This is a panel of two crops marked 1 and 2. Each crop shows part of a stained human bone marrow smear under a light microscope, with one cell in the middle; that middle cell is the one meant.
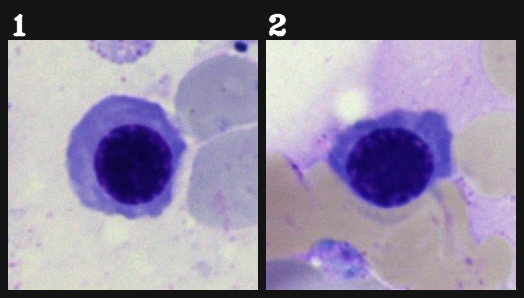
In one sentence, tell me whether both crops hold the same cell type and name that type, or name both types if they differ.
Yes, the central cells, in both crops, are normoblasts.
